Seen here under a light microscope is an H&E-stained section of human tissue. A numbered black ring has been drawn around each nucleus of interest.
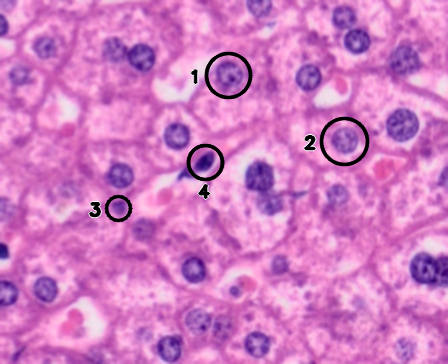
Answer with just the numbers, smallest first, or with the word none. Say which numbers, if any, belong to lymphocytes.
4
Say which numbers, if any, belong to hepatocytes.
1, 2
